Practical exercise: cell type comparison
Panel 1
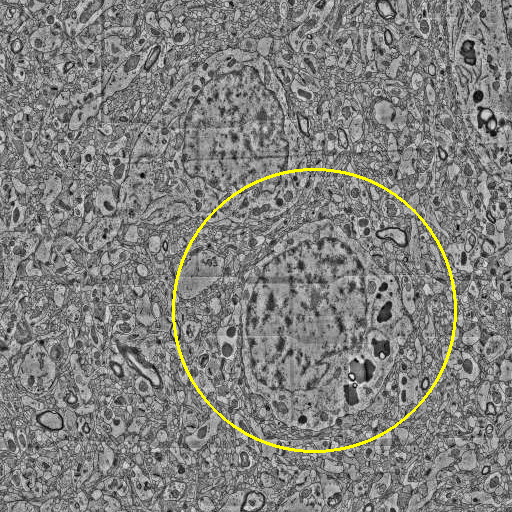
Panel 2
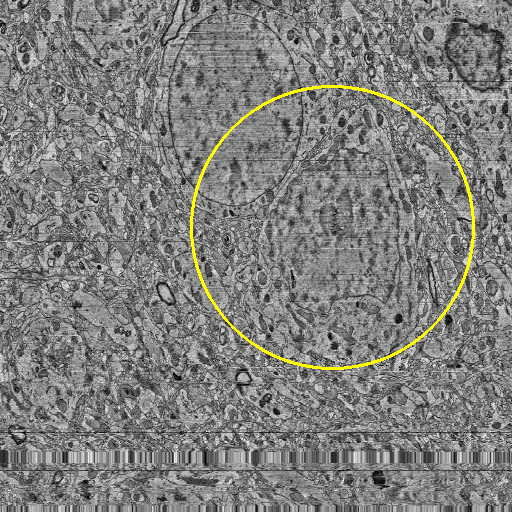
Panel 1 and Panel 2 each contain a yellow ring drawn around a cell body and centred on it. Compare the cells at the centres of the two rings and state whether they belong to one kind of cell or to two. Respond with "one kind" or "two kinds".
one kind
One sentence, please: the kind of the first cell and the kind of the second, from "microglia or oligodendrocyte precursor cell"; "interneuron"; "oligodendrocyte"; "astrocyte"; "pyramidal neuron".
The second cell is an interneuron, just as the first is.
